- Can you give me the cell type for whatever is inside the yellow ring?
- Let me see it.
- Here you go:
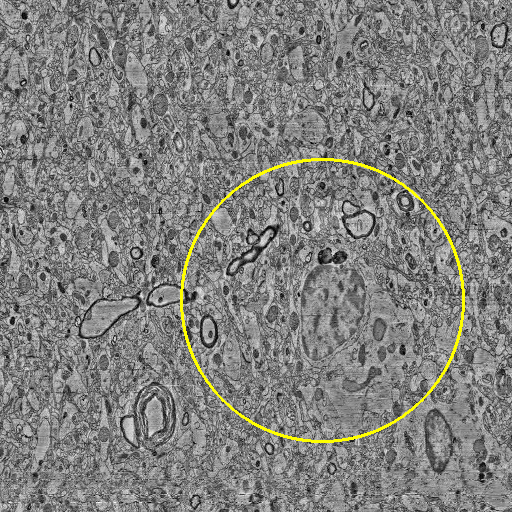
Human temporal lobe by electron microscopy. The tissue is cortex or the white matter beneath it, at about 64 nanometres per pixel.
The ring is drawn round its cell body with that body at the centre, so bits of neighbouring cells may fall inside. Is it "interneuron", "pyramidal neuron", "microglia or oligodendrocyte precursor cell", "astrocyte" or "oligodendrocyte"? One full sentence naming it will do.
The cell body in the middle of the ring in this picture belongs to a microglial cell or oligodendrocyte precursor cell.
